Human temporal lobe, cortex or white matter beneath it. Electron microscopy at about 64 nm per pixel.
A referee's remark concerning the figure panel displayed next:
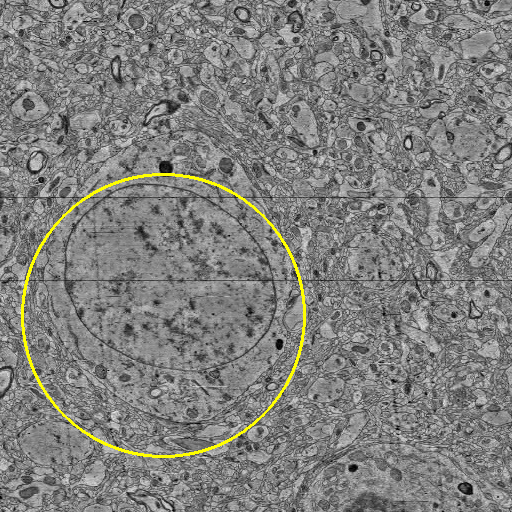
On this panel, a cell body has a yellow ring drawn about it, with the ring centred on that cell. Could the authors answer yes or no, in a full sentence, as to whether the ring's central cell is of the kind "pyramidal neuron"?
Yes, the cell sitting at the middle of the ring on this panel belongs to that kind.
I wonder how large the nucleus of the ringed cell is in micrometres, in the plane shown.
Roughly 14 by 12 micrometres is the size of the nucleus in this plane.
